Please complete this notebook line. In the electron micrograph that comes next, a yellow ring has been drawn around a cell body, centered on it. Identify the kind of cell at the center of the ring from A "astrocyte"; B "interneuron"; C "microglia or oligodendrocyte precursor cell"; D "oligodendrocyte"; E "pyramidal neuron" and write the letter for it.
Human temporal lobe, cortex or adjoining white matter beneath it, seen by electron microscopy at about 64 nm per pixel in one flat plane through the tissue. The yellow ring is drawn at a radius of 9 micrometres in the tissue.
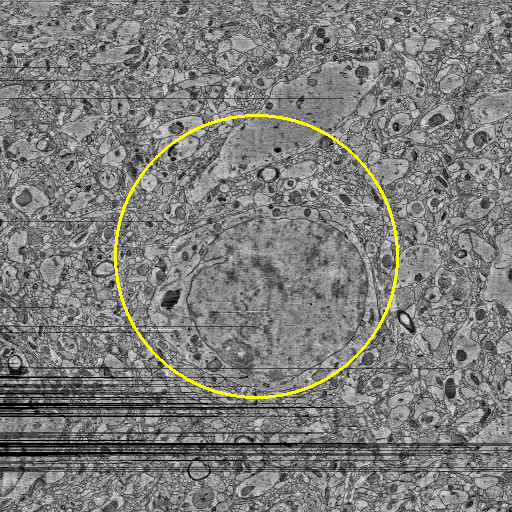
B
